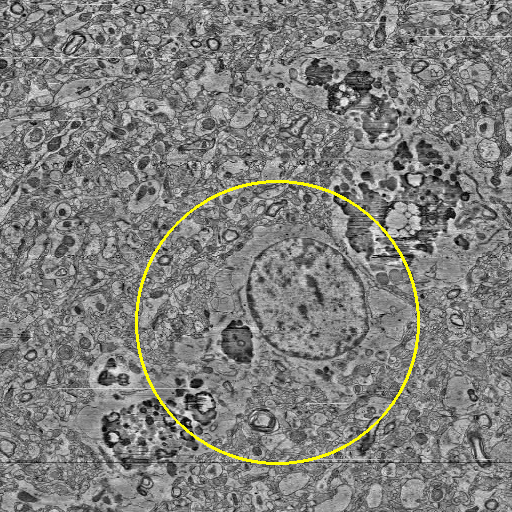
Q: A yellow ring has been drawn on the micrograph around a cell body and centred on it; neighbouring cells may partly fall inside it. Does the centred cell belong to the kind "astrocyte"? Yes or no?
Yes, it belongs to that kind.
